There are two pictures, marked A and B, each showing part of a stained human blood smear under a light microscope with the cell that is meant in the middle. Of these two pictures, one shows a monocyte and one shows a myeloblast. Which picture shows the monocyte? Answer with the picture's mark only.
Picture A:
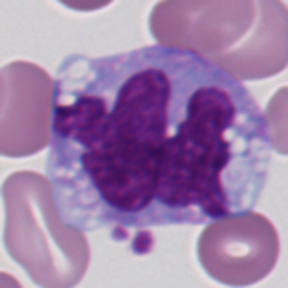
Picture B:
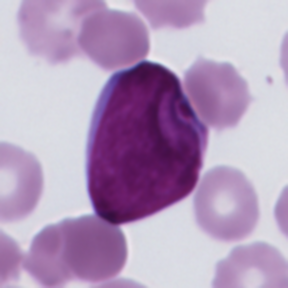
A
